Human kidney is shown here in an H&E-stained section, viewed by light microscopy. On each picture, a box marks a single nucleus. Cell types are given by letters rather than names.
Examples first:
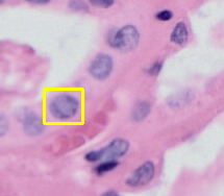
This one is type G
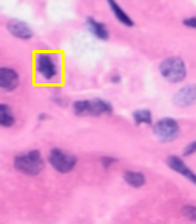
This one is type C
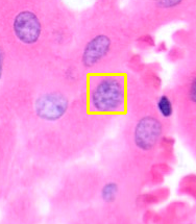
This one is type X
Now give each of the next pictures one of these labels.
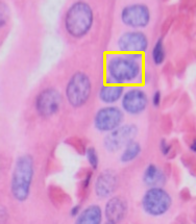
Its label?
type G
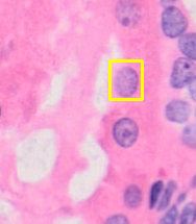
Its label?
type X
